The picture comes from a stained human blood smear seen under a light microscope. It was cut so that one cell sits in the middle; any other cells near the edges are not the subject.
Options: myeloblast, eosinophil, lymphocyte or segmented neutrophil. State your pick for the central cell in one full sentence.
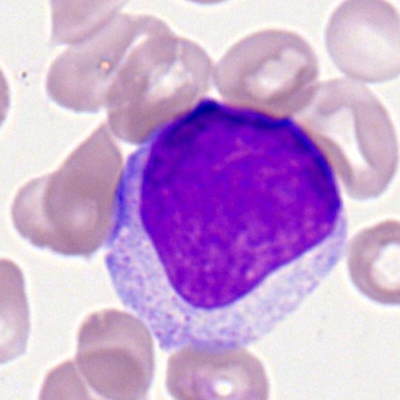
Regarding the central cell, it is a myeloblast.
